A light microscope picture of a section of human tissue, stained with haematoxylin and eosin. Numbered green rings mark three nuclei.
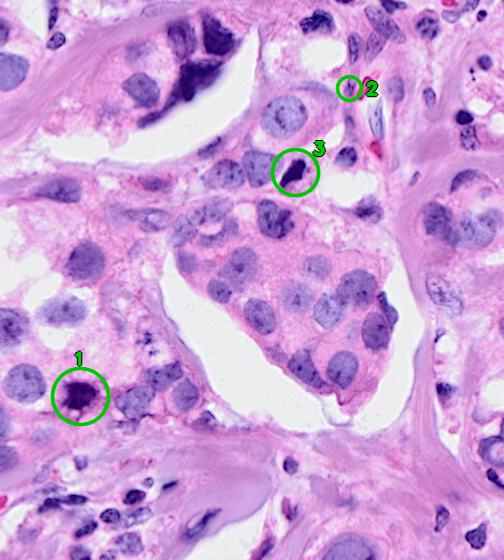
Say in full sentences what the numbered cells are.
Cells 1 and 3 are carcinoma cells. Cell 2 is an endothelial cell.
